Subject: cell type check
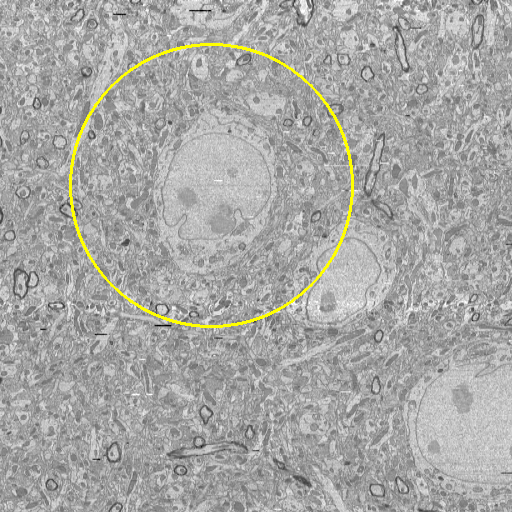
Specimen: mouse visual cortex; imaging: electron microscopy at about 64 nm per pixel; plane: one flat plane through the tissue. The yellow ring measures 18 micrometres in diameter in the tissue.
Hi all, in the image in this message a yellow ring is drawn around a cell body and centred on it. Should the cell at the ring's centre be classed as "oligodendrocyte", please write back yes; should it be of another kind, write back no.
no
